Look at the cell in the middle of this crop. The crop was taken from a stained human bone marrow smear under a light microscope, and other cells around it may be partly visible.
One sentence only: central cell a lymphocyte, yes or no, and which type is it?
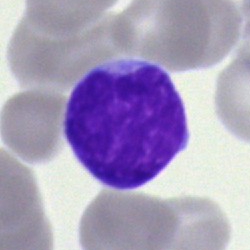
No, what is seen at the centre is a blast instead of a lymphocyte.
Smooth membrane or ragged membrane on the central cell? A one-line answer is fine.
If you check the edge, you will find it smooth without projections.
